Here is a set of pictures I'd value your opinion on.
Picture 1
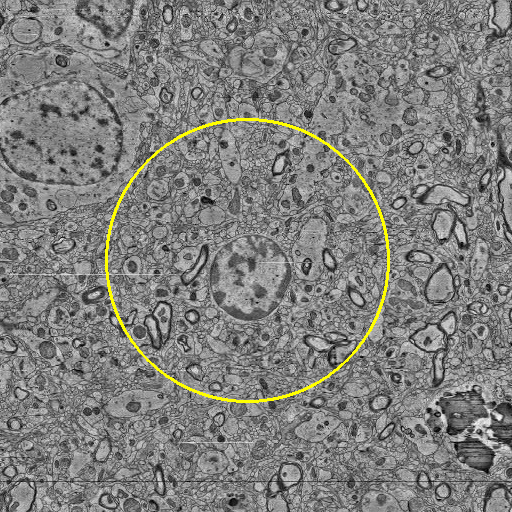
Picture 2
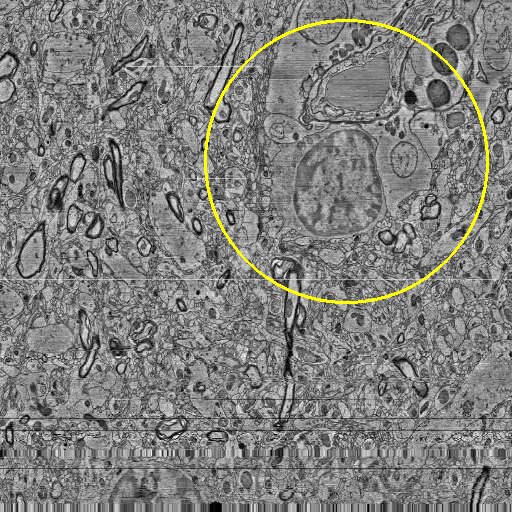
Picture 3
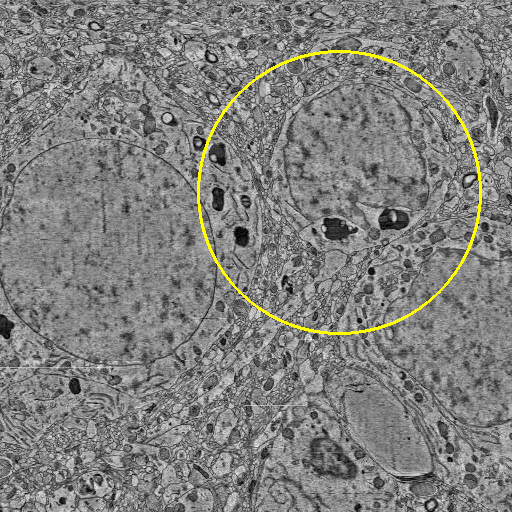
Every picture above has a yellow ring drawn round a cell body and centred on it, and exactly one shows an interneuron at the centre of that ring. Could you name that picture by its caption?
Picture 3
